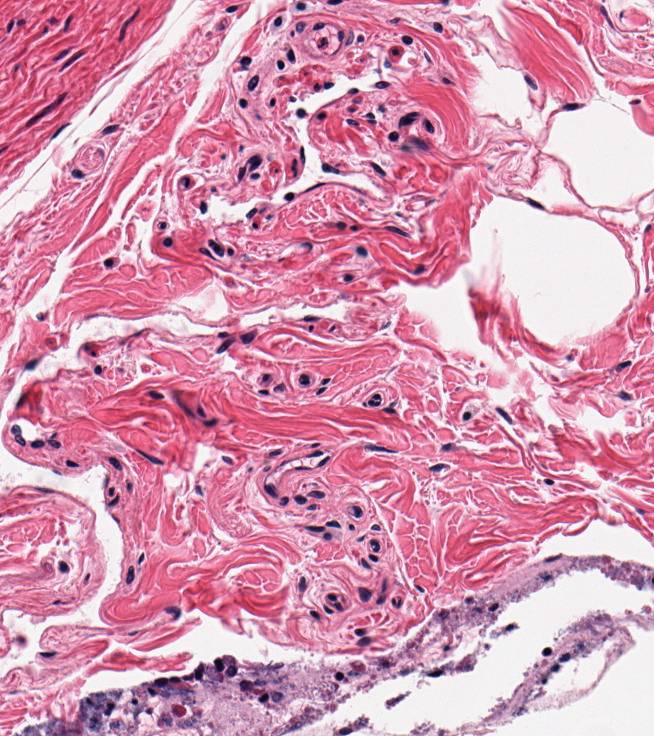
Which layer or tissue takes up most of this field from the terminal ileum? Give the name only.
dense connective tissue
